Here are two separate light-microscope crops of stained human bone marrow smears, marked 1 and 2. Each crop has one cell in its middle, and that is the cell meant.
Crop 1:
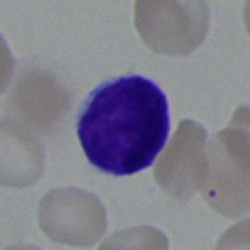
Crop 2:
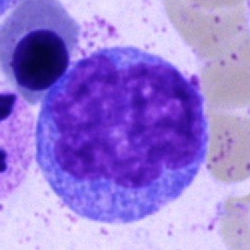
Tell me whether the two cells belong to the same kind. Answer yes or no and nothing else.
no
